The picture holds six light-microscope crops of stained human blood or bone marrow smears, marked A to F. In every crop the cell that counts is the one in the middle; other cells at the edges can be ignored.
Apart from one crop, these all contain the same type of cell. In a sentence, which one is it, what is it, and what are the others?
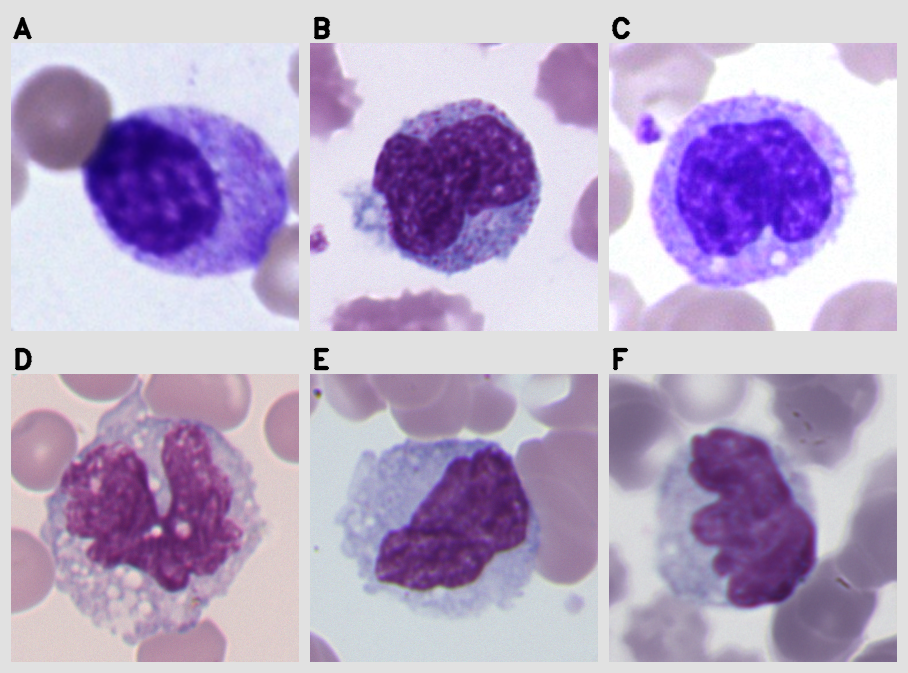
Of these crops, only crop A is a myelocyte; the others are monocytes.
